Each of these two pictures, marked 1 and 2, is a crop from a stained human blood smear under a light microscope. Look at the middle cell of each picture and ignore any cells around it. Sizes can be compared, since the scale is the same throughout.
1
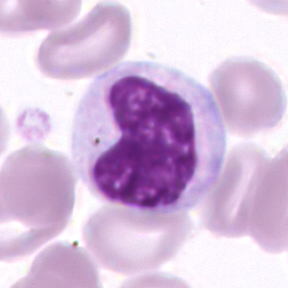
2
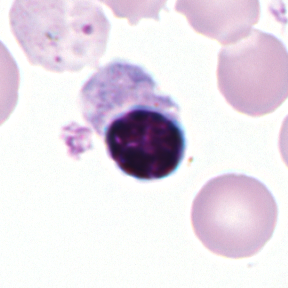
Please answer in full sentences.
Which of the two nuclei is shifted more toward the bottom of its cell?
The nucleus in crop 2 lies further toward the bottom of its cell.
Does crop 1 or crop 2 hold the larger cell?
Crop 1 holds the larger cell; it covers about 2 times the area of the cell in crop 2.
